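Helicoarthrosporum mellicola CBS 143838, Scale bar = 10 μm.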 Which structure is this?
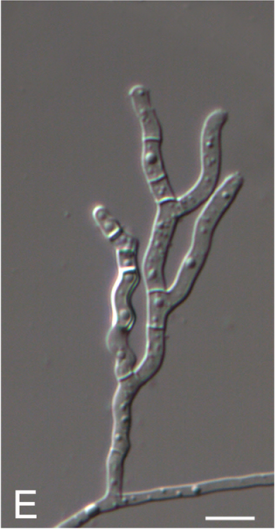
Conidiophores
